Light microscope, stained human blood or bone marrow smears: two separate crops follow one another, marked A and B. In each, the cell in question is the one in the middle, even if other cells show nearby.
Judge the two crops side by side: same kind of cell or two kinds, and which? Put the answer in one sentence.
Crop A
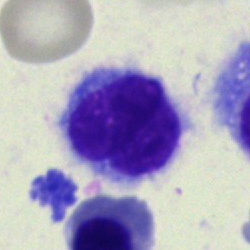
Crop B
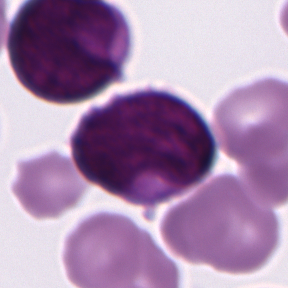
No, the middle of crop A shows a hairy cell, and the middle of crop B shows a blast.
